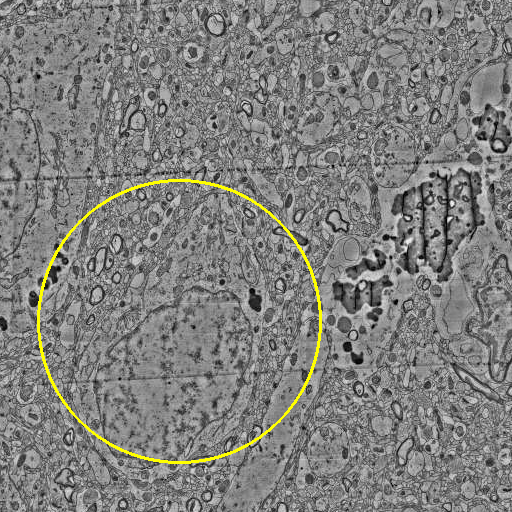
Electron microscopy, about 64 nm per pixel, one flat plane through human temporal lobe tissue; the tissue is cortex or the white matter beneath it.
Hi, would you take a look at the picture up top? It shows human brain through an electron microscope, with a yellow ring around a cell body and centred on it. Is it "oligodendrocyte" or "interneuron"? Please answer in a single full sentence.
The best fit for the cell in the middle of the ring is an interneuron, I reckon.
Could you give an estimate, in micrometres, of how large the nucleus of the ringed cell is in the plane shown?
The ringed cell's nucleus is about 13 micrometres long and 9 micrometres wide in this plane.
